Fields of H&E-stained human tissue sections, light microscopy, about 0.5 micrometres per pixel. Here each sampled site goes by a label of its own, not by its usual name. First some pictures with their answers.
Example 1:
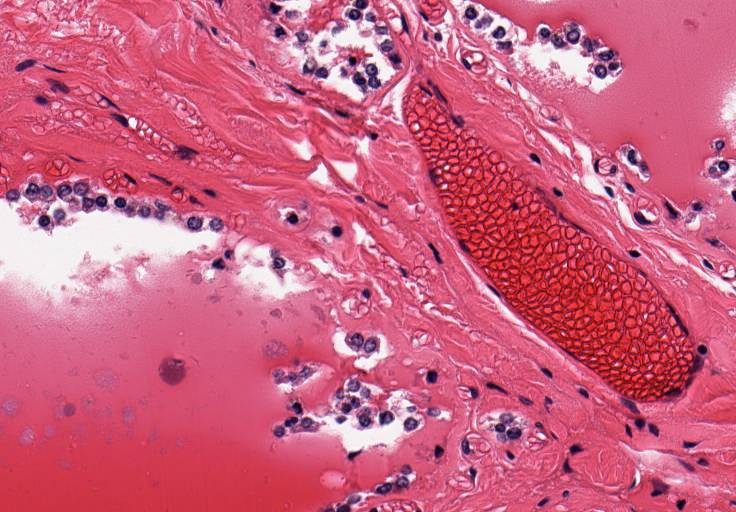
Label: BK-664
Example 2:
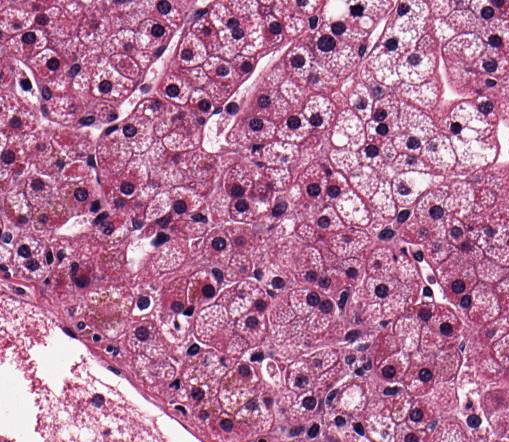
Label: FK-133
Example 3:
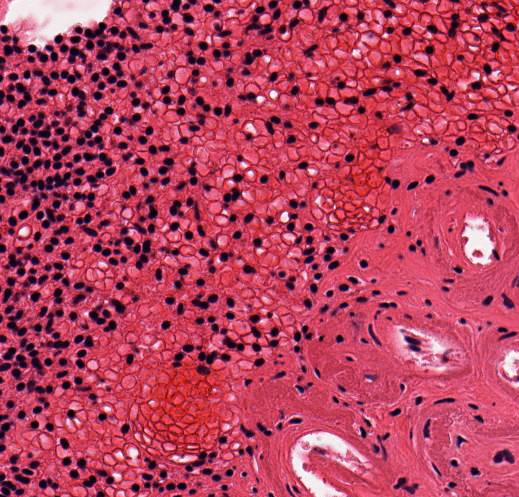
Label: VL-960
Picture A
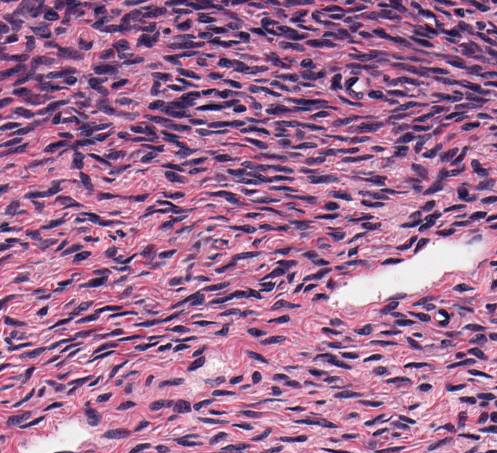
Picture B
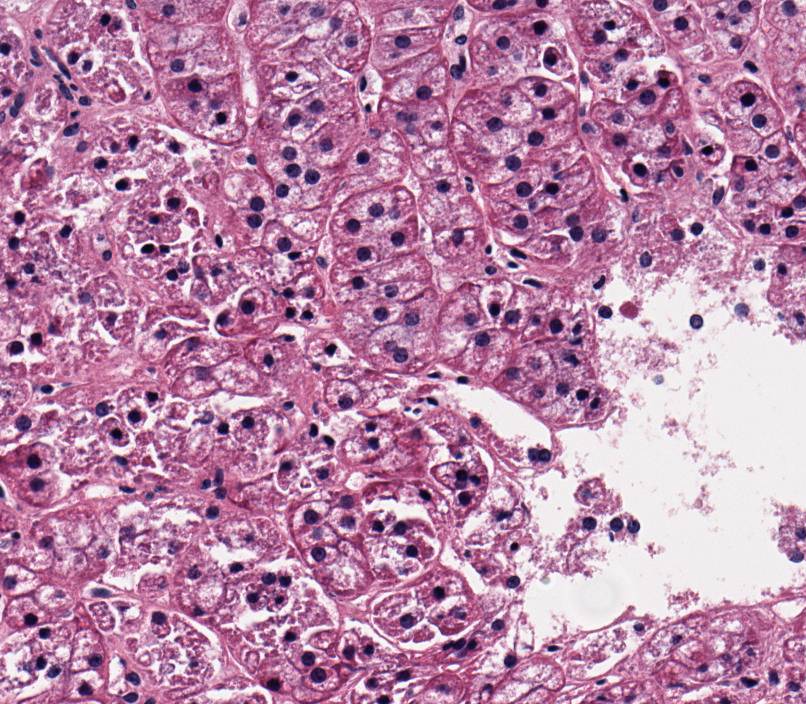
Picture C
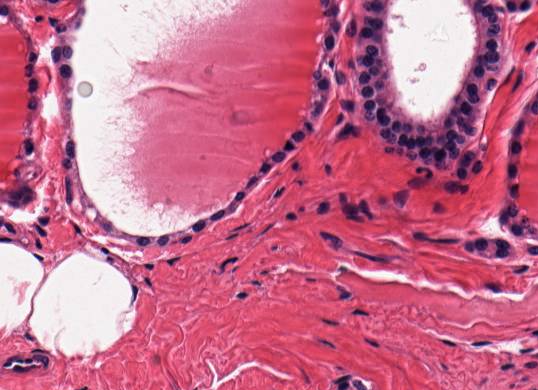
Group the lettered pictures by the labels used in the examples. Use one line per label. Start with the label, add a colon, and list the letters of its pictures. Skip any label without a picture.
BK-664: C
FK-133: B
VL-960: A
